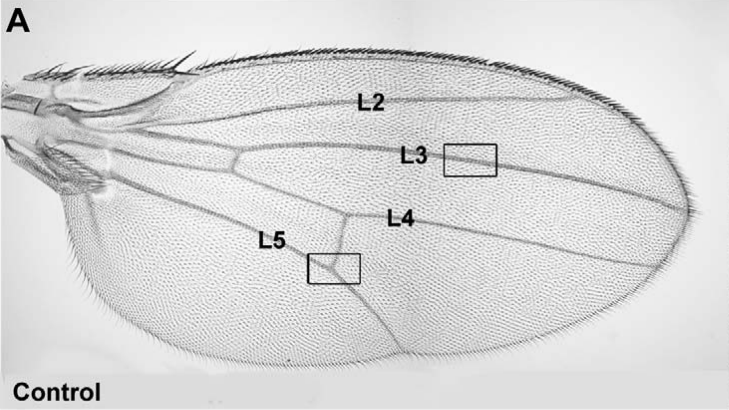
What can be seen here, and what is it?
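This is an adult fly wing blade seen flat, translucent and elongated-oval, with the hinge at the left and a bristle-lined margin. Thin dark longitudinal veins run from the base toward the tip, joined by short cross-veins, and divide the blade into lighter intervein regions.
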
